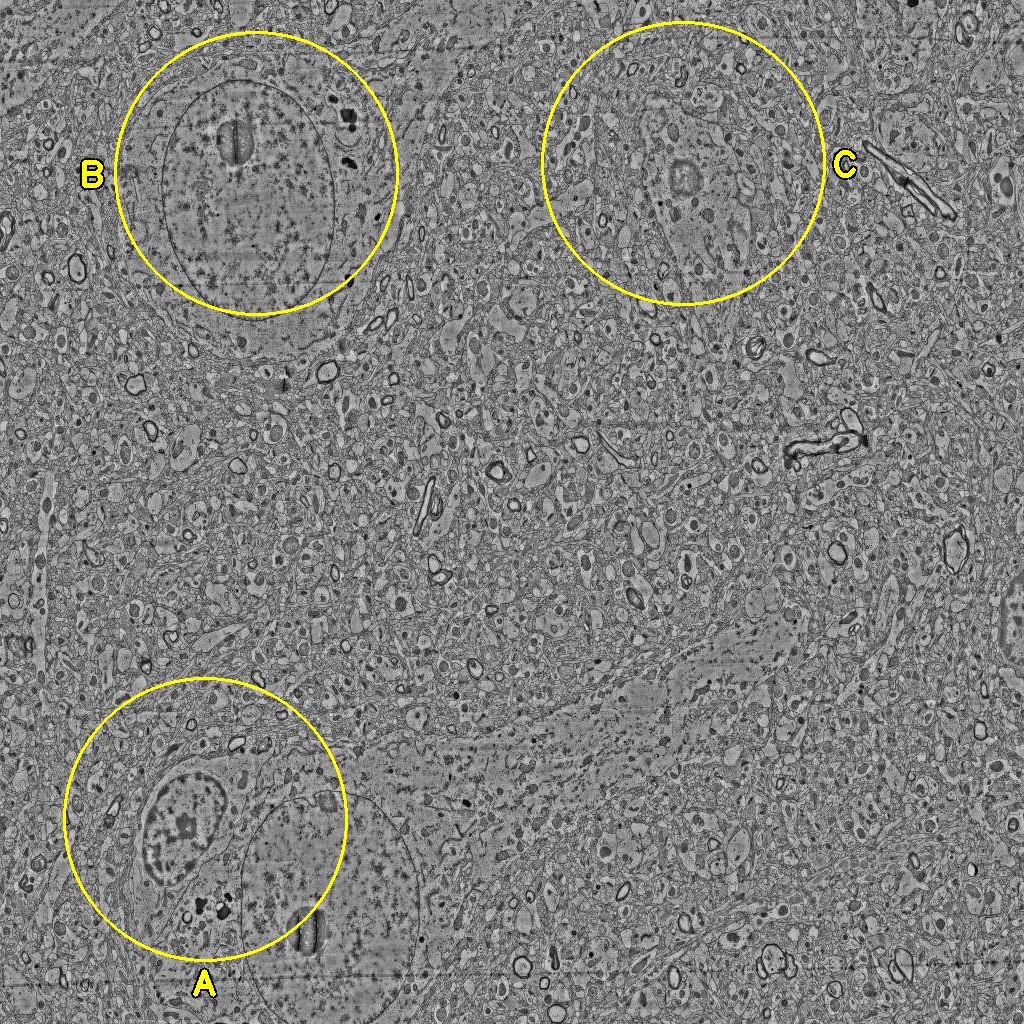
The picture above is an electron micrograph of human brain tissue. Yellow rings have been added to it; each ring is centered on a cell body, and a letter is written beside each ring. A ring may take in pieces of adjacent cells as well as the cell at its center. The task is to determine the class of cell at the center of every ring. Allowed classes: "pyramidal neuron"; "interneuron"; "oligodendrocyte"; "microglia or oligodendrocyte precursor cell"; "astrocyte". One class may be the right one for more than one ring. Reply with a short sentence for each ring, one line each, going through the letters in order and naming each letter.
Ring A is centered on a microglial cell or oligodendrocyte precursor cell.
Ring B is centered on a pyramidal neuron.
Ring C is centered on a pyramidal neuron.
